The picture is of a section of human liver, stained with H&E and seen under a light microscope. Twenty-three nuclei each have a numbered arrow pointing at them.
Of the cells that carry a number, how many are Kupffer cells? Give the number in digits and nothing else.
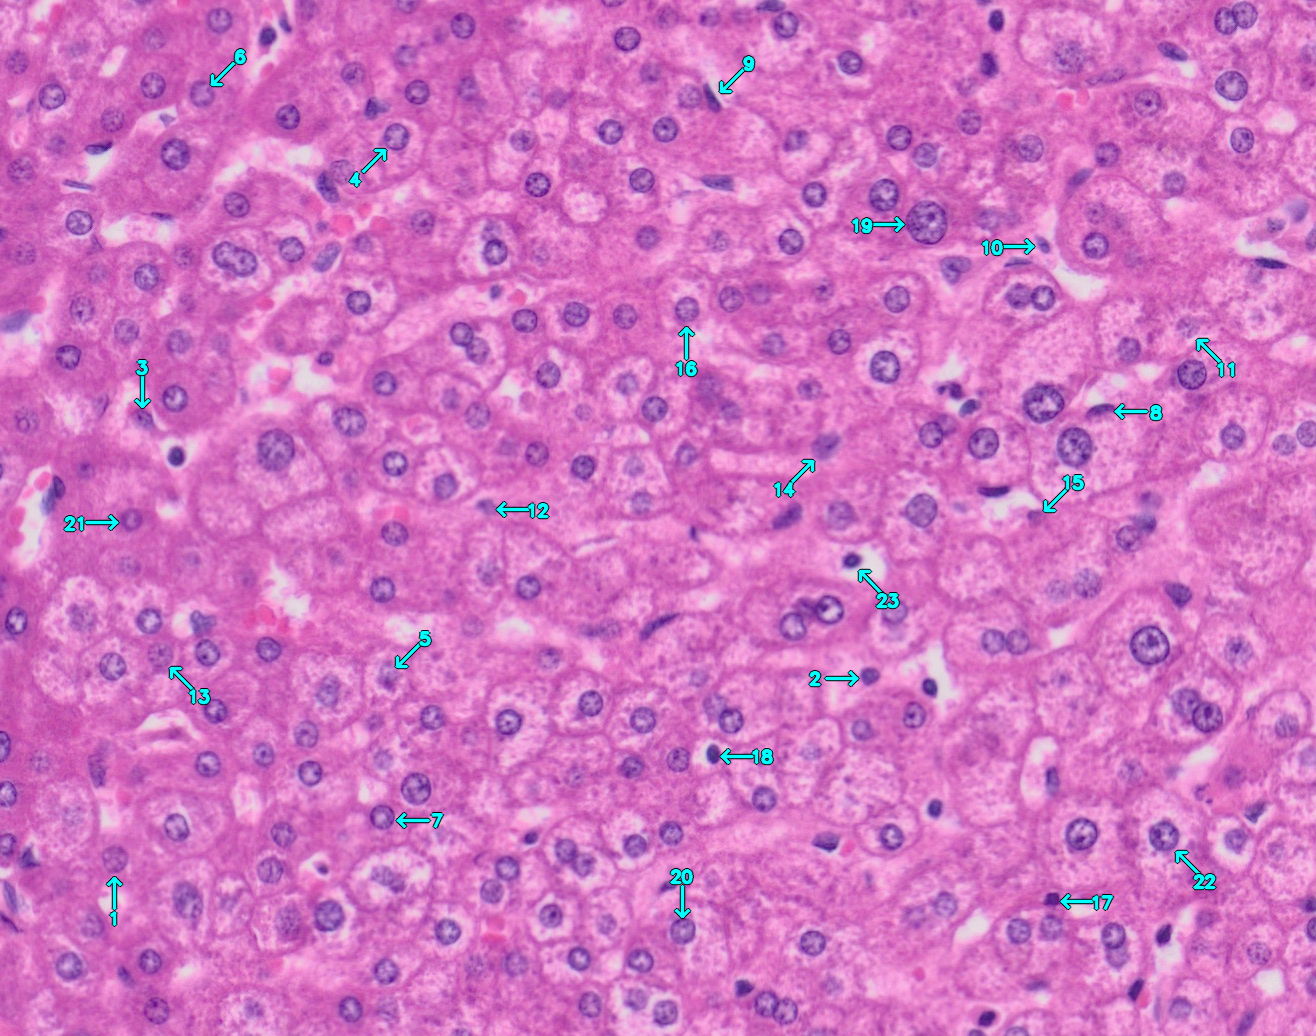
2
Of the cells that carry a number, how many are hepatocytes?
12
